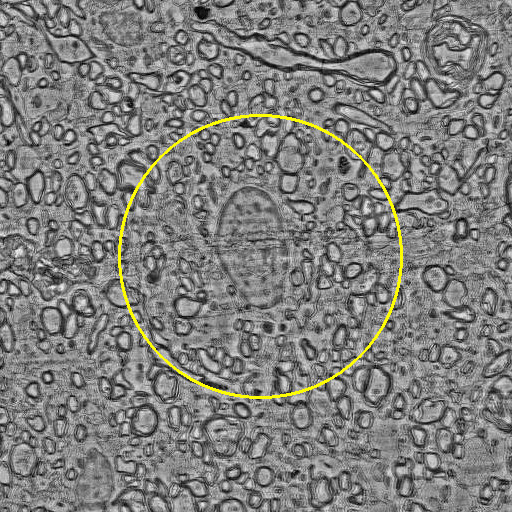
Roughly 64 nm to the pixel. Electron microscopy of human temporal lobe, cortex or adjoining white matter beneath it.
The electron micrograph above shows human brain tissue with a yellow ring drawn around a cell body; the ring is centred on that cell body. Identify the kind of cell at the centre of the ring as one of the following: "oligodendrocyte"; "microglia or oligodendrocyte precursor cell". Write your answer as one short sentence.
The cell at the centre of the ring is a microglial cell or oligodendrocyte precursor cell.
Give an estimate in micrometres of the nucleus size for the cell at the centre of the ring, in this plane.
At approximately 8 by 4 micrometres, the nucleus is clearly longer than it is wide in this plane.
